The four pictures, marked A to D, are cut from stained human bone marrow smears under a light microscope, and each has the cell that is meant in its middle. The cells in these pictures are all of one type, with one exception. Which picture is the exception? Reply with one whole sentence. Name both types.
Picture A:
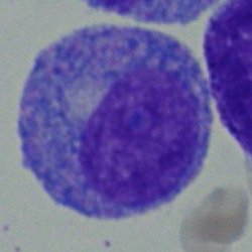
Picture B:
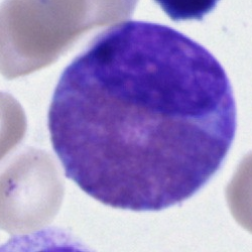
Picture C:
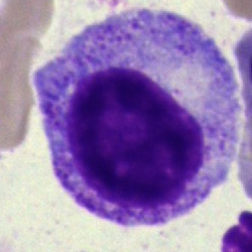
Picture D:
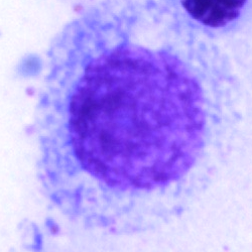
All pictures except B show promyelocytes; picture B shows an eosinophil.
